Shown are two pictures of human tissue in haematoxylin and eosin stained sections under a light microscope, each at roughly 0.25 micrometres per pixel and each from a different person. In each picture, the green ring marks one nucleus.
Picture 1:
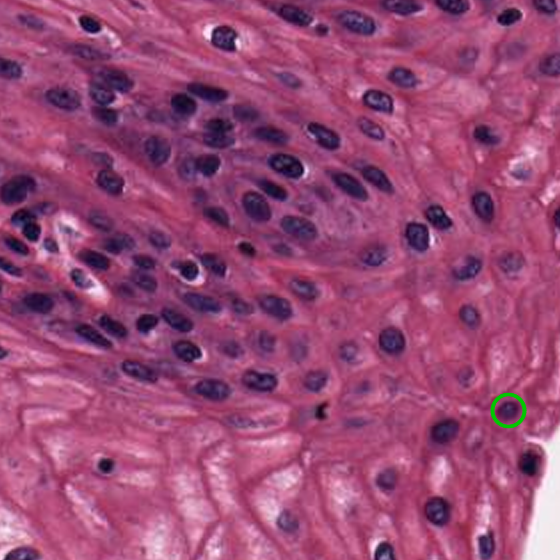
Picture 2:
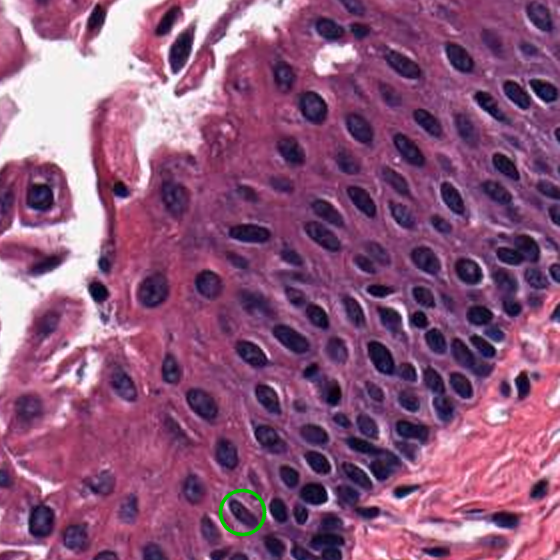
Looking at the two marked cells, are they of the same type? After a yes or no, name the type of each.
Yes, both are squamous epithelial cells.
